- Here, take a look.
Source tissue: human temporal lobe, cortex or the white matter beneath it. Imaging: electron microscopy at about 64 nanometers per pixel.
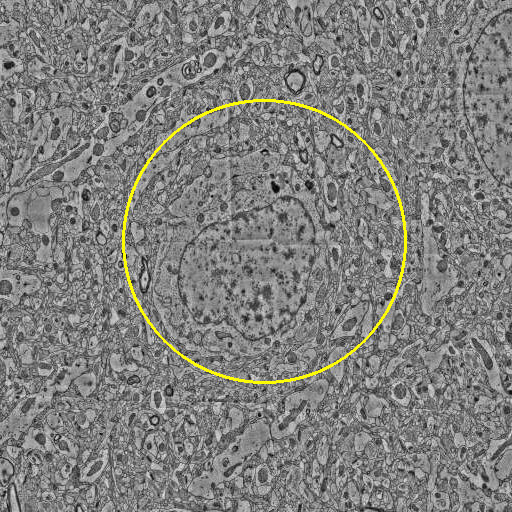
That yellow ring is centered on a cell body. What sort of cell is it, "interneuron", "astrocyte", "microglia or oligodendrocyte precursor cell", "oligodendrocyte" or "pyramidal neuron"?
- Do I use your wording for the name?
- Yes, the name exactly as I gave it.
interneuron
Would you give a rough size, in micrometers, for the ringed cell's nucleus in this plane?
About 10 by 8 micrometers for the nucleus, in this plane.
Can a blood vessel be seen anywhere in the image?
No, there is no blood vessel in the image.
